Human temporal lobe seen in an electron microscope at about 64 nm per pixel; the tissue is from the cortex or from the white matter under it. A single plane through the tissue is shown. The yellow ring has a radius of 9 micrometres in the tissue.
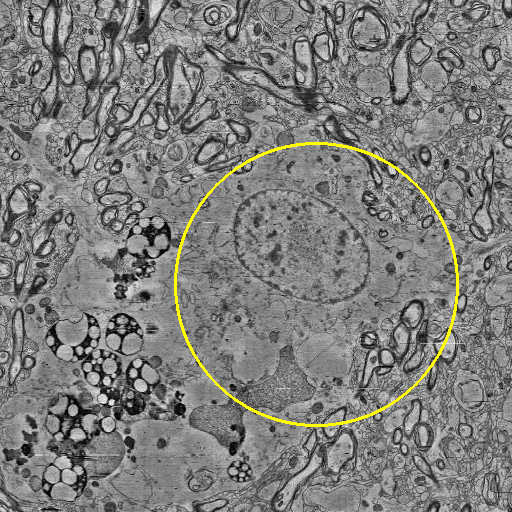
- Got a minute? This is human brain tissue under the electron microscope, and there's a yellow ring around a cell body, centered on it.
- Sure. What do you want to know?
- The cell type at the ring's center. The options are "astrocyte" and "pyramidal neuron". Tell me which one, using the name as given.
astrocyte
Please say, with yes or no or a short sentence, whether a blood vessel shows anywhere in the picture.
Yes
